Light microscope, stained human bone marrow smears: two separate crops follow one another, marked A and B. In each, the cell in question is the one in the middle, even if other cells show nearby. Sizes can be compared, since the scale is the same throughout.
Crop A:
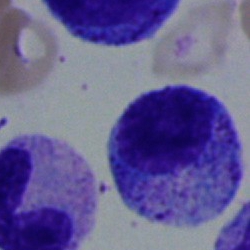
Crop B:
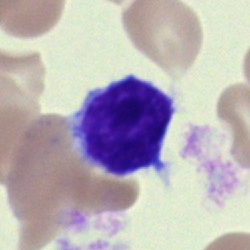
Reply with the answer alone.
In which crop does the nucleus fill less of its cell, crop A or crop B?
A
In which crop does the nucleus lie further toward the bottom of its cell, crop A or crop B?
B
